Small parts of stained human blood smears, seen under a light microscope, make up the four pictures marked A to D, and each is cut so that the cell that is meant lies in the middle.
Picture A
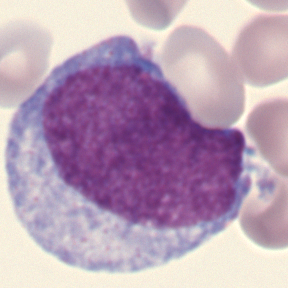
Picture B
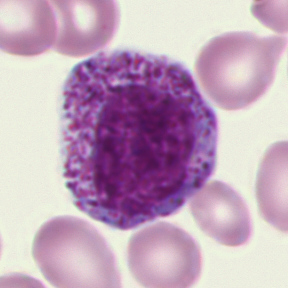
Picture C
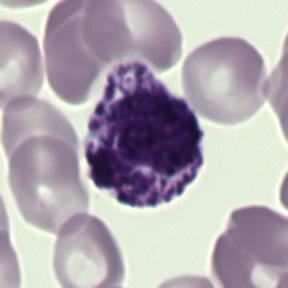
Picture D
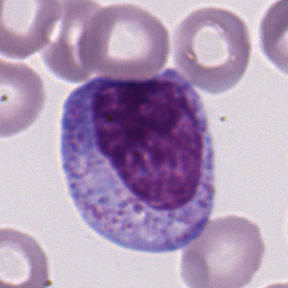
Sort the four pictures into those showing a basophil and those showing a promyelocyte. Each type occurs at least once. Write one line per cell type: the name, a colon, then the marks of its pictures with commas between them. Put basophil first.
basophil: C
promyelocyte: A, B, D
